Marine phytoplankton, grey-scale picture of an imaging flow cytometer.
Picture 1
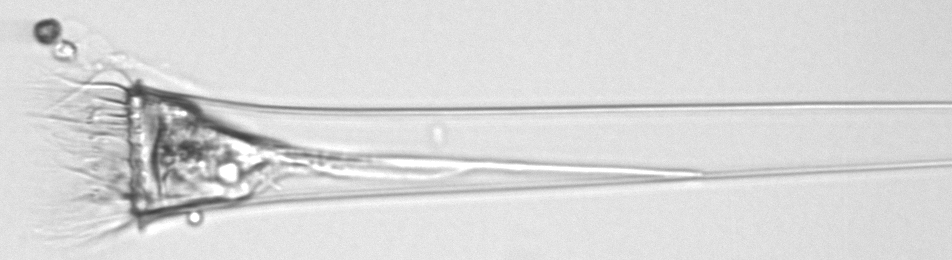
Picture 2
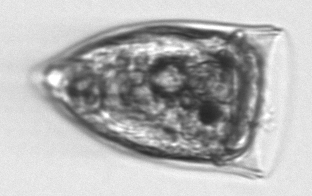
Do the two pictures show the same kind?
Yes, both are tintinnids.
